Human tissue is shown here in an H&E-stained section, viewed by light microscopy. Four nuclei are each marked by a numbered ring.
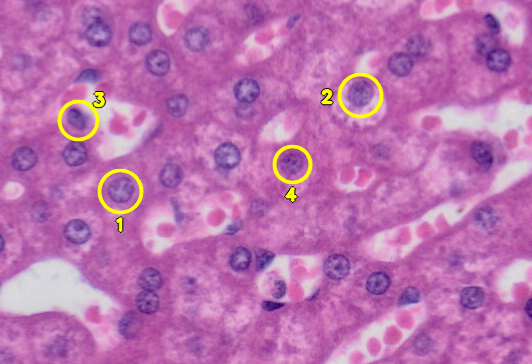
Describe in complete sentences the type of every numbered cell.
Cell 1 is a hepatocyte, cell 2 is a hepatocyte, cell 3 is a Kupffer cell and cell 4 is a hepatocyte.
